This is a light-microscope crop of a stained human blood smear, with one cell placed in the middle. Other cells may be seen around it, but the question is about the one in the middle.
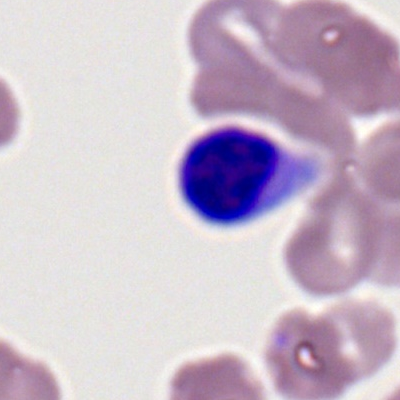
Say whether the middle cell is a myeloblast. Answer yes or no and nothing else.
no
